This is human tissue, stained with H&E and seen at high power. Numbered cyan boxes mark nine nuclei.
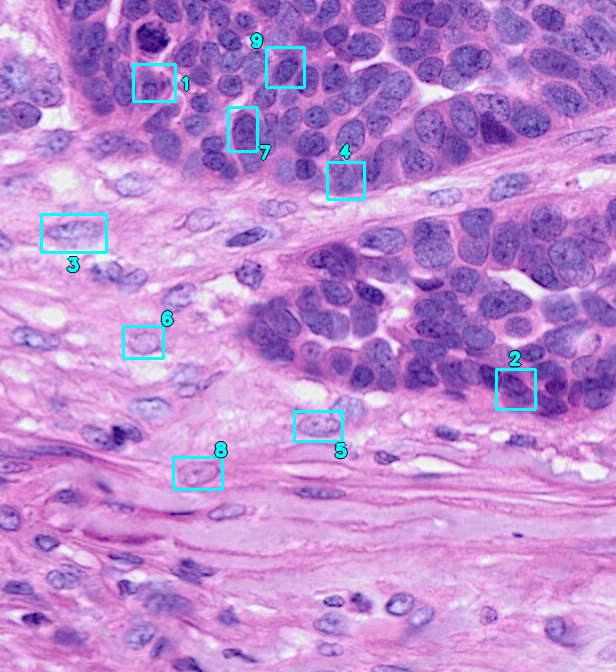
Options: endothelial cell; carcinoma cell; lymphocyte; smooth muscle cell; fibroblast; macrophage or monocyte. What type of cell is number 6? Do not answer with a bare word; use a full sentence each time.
The cell identified by the number 6 is a fibroblast.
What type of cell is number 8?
Cell 8 should be recorded as a fibroblast.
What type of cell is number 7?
Cell 7 in the field of view is a carcinoma cell.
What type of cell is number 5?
Nucleus 5 in this section belongs to a fibroblast.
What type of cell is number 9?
Among the marked cells, number 9 is a carcinoma cell.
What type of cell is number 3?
In the tissue shown, cell 3 is a fibroblast.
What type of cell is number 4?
The cell marked with number 4 is a carcinoma cell.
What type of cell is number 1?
The cell marked with number 1 is a carcinoma cell.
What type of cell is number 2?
It is as a carcinoma cell that the cell numbered 2 is identified.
